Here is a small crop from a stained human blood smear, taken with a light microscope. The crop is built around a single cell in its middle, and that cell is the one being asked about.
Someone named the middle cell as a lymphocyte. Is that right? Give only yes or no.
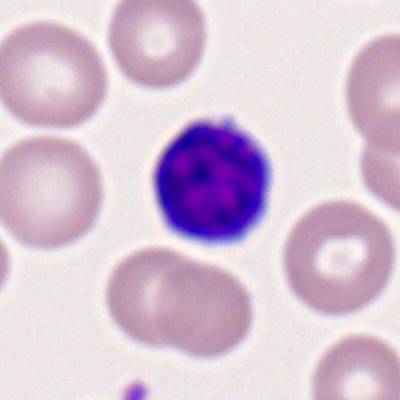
yes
